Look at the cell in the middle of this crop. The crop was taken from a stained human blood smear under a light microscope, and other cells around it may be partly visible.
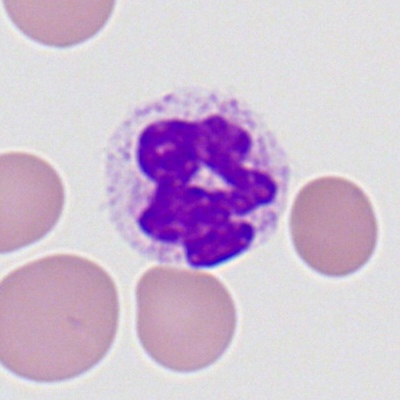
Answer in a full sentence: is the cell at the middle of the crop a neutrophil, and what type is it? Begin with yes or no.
Yes, the cell that the crop is centred on is a neutrophil.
